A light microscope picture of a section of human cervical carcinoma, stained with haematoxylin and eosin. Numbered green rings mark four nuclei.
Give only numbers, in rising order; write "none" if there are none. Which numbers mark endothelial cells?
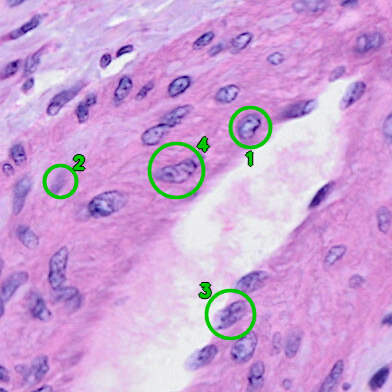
3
